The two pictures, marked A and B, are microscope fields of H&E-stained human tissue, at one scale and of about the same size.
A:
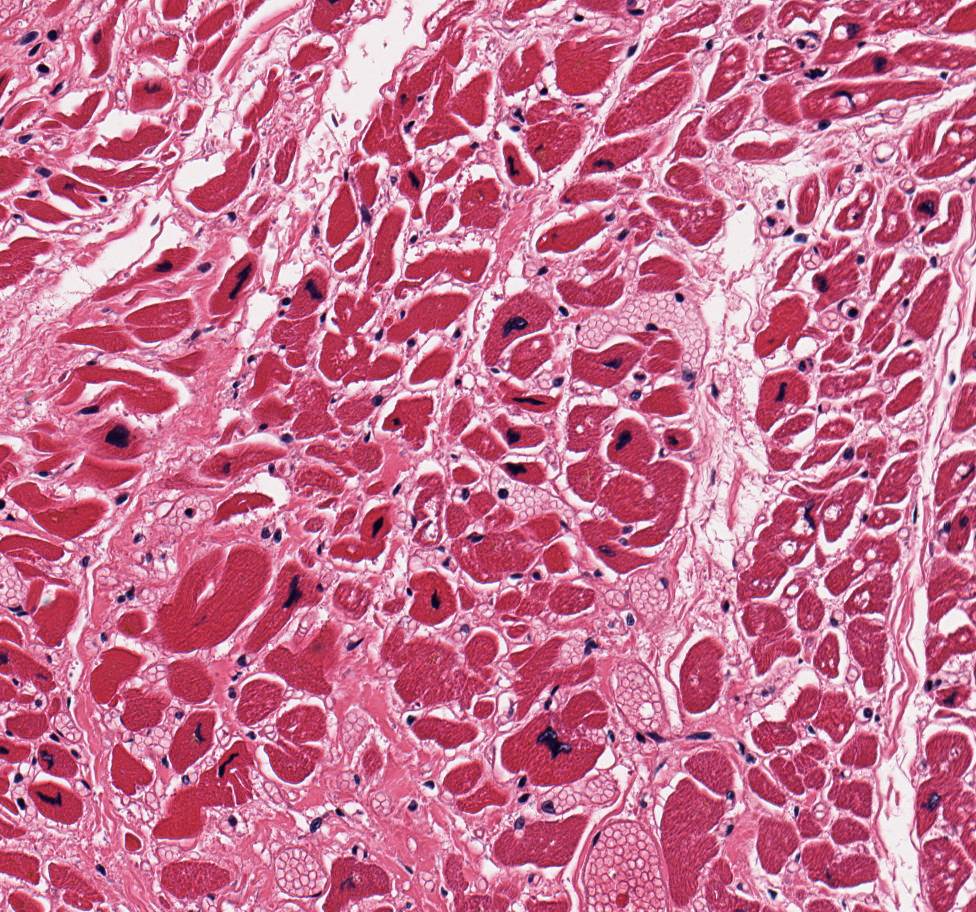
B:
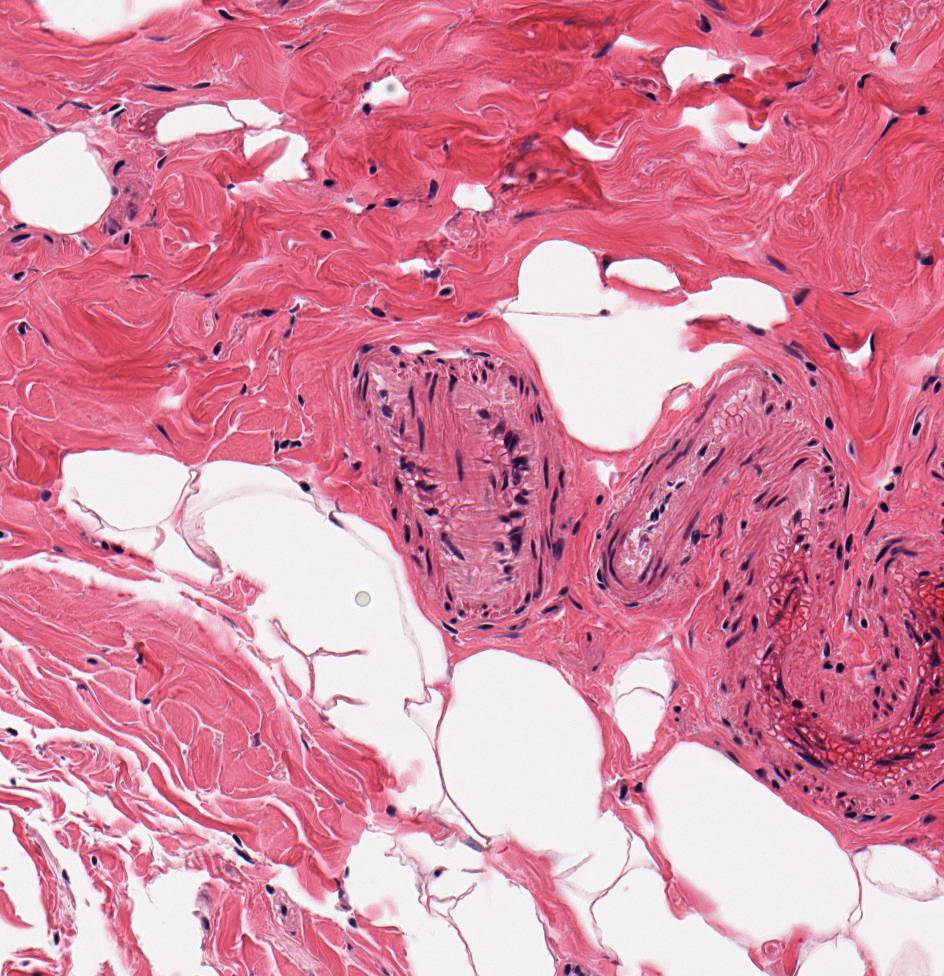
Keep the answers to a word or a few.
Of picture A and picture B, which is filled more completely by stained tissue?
A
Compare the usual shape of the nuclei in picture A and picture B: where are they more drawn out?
B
